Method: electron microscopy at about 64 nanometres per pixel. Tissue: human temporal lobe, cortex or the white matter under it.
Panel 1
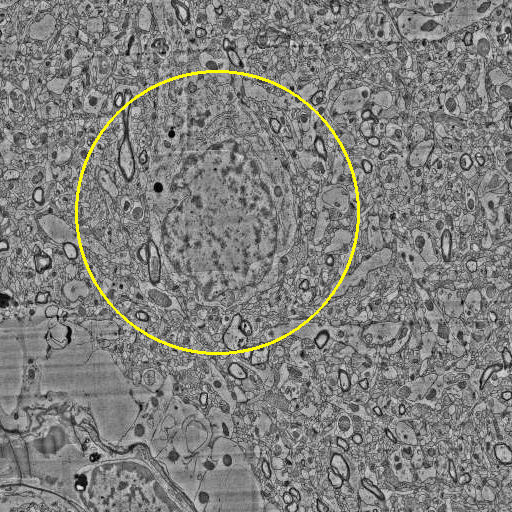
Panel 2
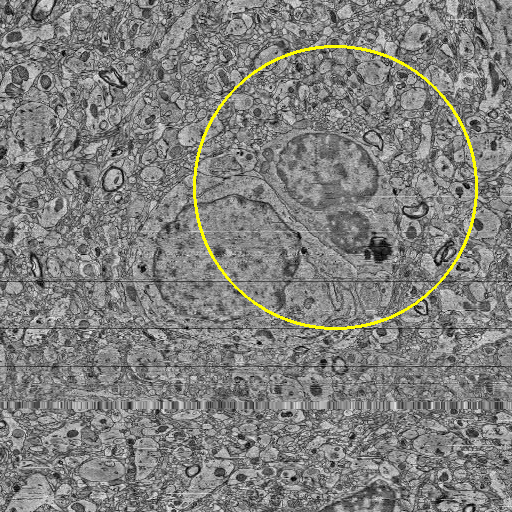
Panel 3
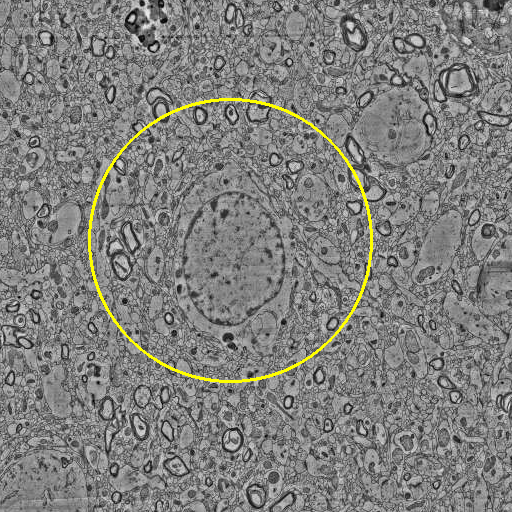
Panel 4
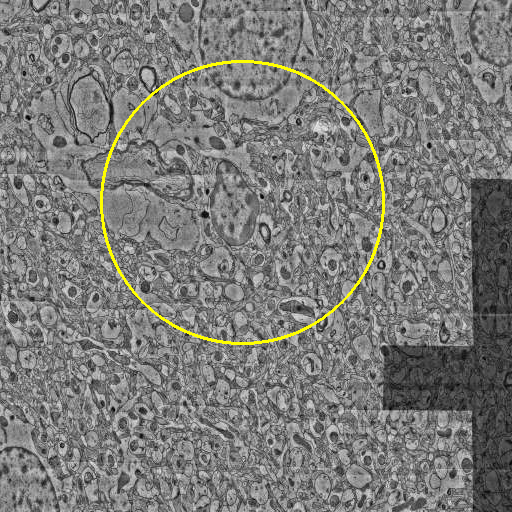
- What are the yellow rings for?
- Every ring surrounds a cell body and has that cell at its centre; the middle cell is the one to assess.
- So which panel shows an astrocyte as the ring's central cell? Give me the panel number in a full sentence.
The panel whose ring is centred on the cell in question is panel 3.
